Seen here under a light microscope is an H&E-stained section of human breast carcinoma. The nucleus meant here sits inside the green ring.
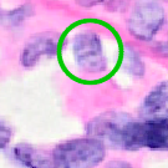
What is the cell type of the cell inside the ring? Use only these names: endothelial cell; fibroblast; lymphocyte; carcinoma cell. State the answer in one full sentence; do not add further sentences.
In cellular terms, the cell inside the ring is a carcinoma cell.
